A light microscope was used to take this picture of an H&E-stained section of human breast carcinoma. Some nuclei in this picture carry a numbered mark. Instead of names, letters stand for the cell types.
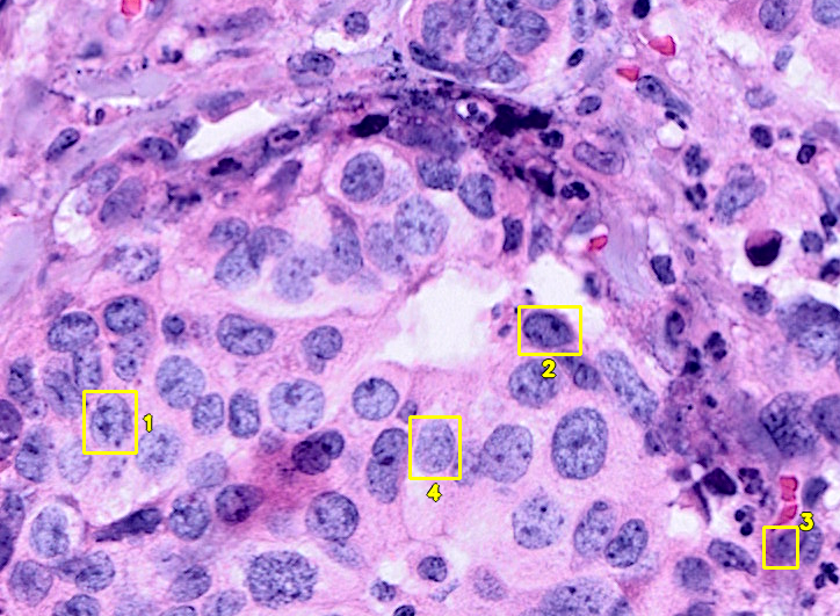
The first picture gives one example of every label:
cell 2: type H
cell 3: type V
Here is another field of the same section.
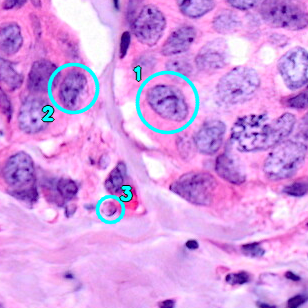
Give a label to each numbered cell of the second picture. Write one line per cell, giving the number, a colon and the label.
1: type H
2: type H
3: type V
